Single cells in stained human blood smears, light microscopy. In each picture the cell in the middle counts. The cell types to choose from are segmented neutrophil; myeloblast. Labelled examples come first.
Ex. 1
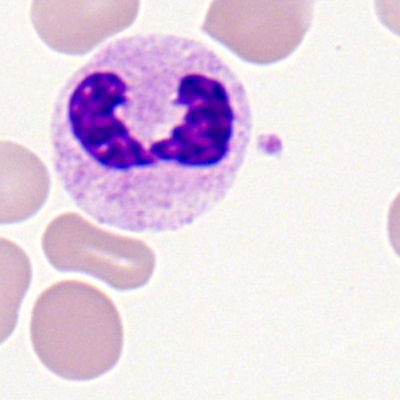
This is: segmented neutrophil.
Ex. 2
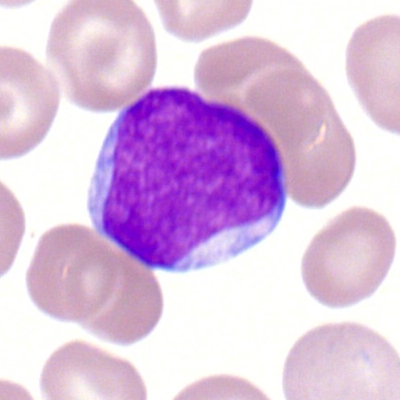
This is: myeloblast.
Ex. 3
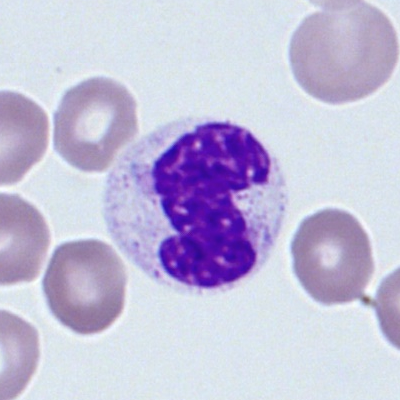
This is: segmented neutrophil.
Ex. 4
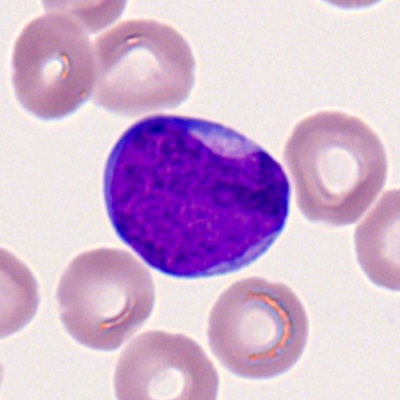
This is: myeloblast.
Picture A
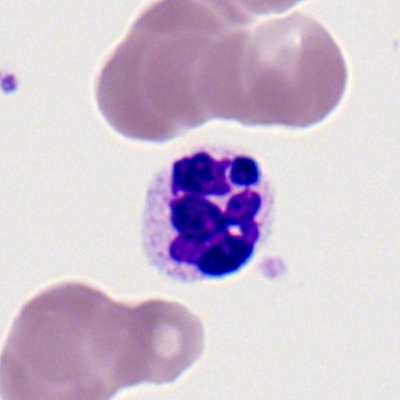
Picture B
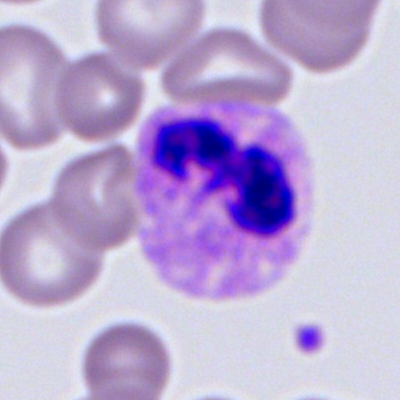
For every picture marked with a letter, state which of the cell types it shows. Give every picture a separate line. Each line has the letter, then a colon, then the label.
A: segmented neutrophil.
B: segmented neutrophil.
